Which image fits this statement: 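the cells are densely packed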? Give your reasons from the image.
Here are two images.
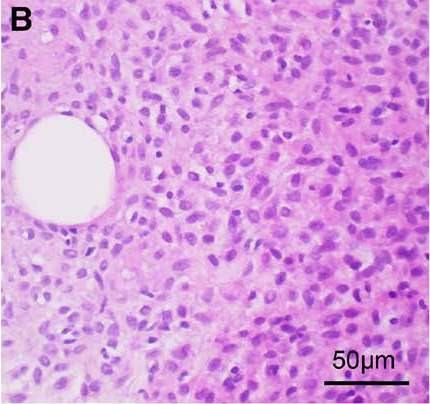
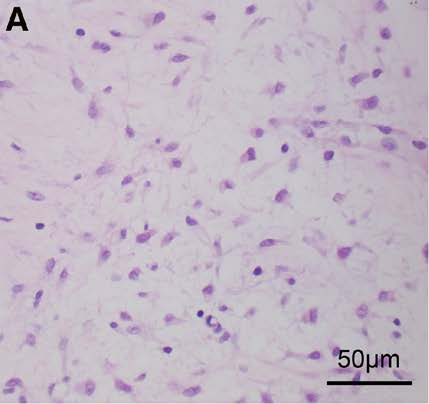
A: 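The first image. Second image: few nuclei are scattered widely in a pale loose background. First image: nuclei are crowded closely throughout the field.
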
